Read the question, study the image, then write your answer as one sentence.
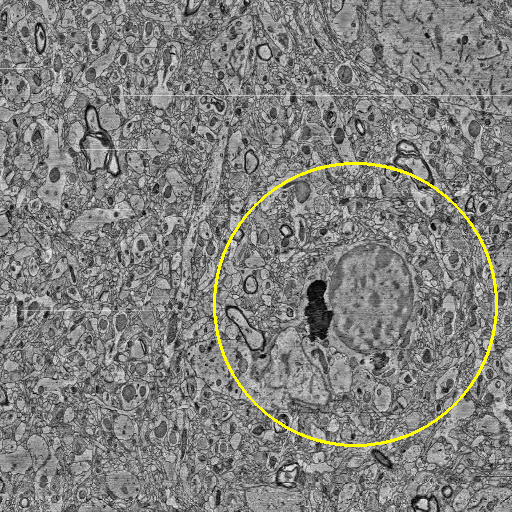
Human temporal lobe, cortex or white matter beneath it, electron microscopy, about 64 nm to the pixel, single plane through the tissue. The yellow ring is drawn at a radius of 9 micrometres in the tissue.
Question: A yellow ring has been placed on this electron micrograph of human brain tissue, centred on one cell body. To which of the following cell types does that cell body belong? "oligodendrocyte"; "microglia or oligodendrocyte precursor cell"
That cell body belongs to an oligodendrocyte.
